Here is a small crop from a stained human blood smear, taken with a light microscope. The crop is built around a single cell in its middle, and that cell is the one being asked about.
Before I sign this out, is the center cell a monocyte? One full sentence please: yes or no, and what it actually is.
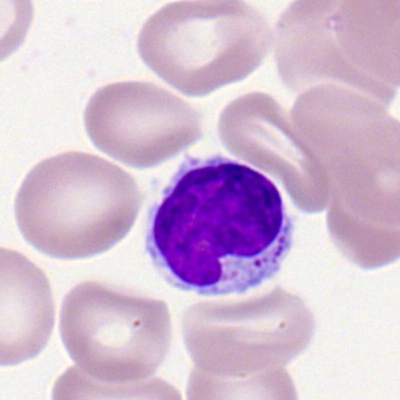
No, the middle cell is not a monocyte, it being a lymphocyte.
